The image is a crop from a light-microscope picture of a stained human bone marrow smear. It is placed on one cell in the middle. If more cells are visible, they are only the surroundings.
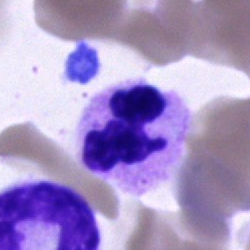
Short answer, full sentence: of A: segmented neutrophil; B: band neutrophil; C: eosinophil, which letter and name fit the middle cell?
The middle of the crop contains a segmented neutrophil, so option A is right.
